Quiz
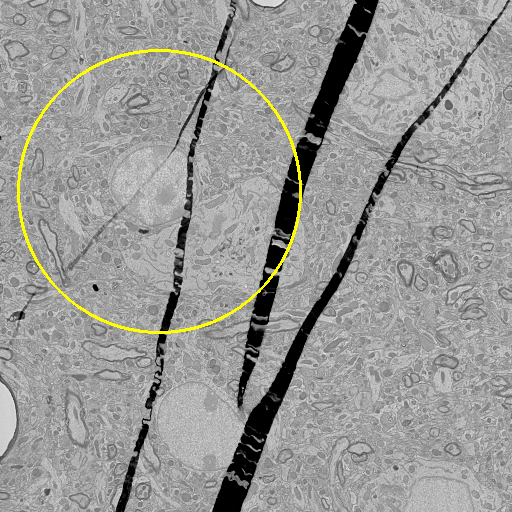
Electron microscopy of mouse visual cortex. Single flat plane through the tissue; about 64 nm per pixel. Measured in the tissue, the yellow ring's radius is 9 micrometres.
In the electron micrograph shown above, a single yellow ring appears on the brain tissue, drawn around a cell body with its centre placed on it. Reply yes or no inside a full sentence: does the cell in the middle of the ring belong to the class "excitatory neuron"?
No, the cell at the centre of the ring in the picture belongs to a different class.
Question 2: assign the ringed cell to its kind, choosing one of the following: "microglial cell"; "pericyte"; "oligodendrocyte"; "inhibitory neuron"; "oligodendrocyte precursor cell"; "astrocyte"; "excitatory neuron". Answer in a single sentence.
The cell ringed in the picture is an oligodendrocyte.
